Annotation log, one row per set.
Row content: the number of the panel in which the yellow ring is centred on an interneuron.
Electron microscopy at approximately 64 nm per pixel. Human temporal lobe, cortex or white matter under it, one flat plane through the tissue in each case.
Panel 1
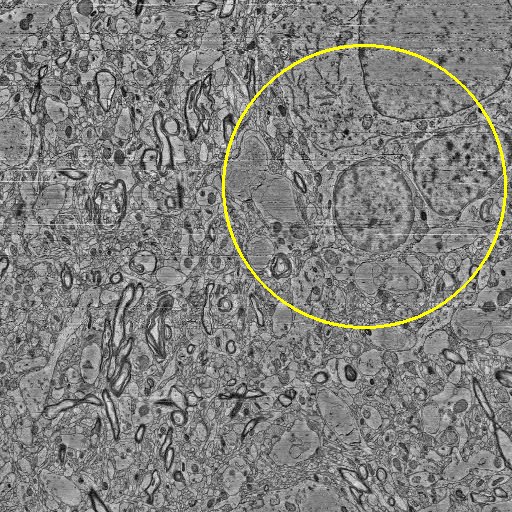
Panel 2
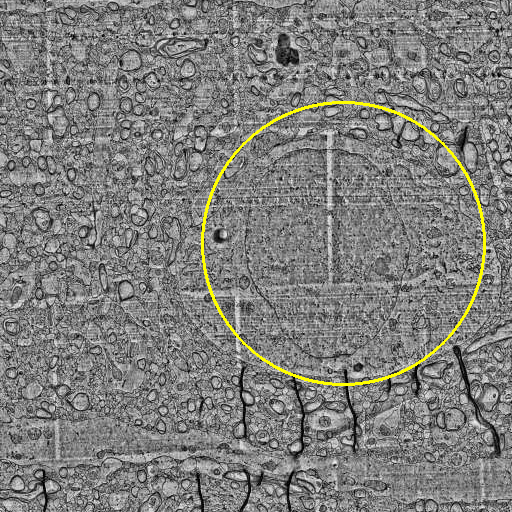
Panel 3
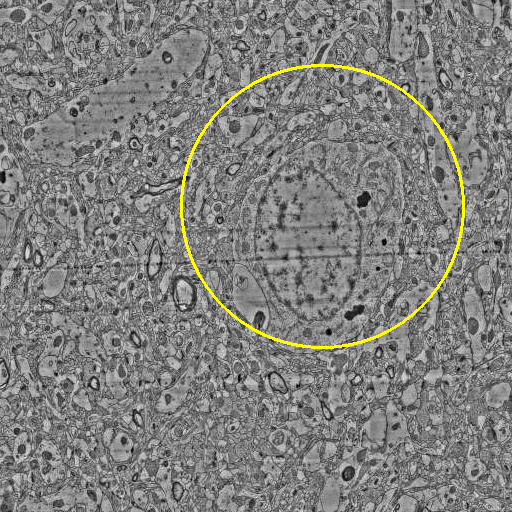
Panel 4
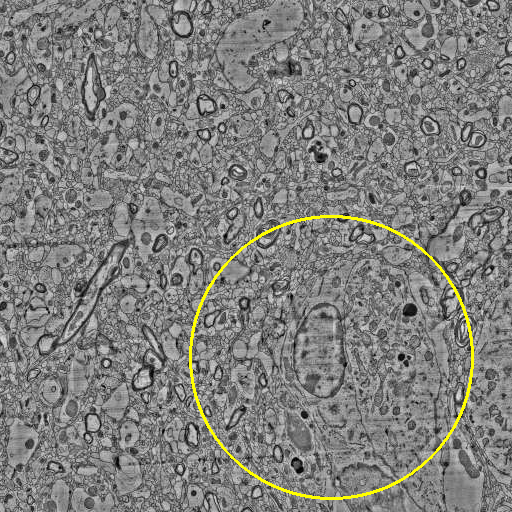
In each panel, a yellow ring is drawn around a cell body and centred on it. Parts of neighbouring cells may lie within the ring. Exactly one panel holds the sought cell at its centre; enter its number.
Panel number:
3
